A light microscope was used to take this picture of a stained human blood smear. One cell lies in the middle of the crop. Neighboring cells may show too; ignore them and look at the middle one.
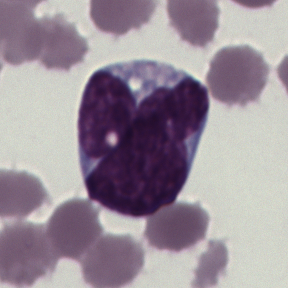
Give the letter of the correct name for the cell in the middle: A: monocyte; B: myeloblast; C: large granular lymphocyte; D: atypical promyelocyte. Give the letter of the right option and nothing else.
A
